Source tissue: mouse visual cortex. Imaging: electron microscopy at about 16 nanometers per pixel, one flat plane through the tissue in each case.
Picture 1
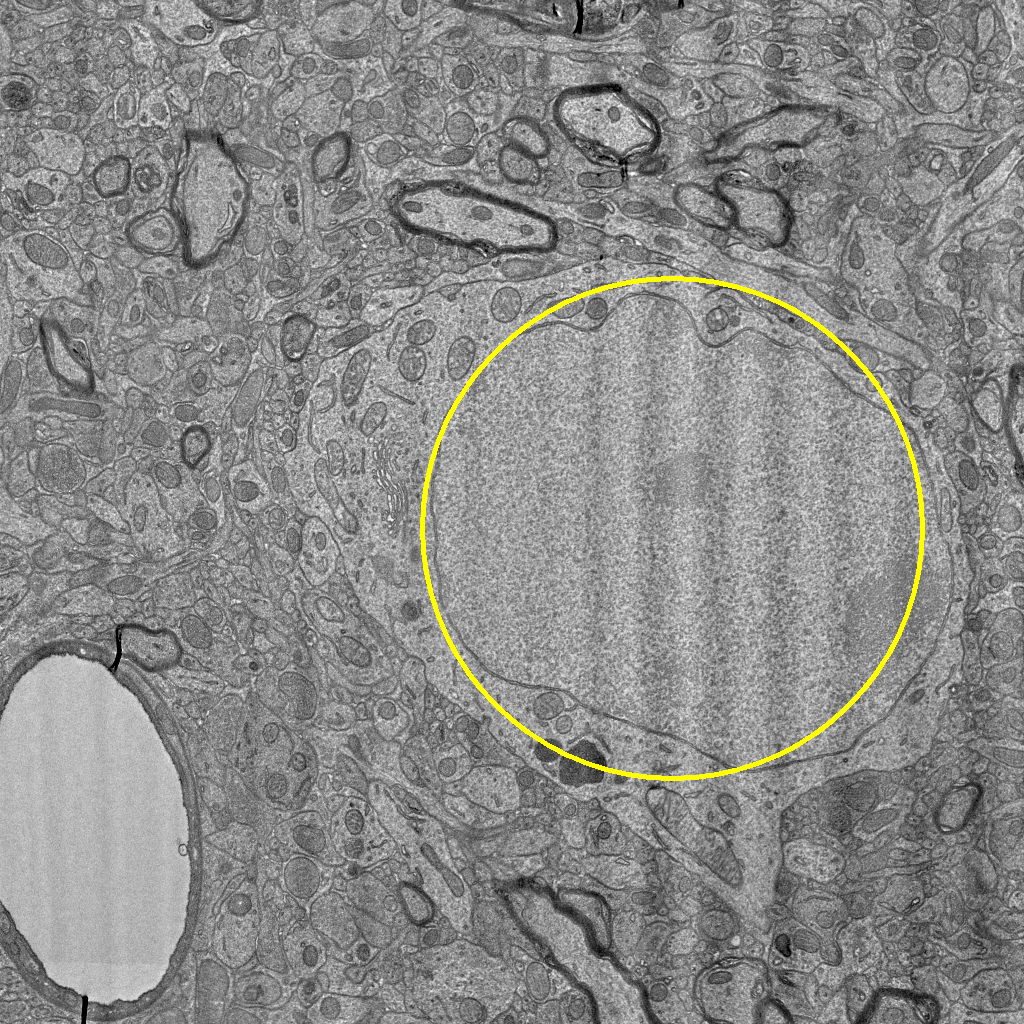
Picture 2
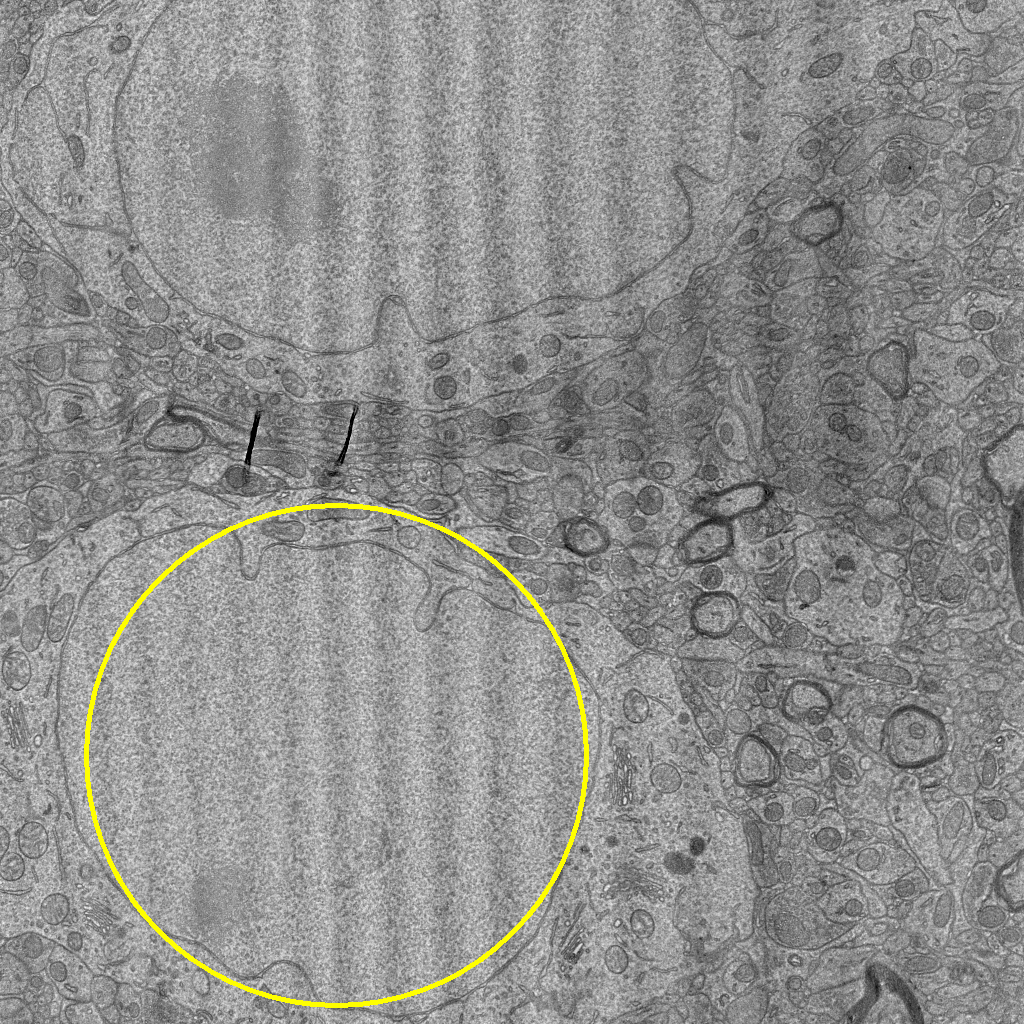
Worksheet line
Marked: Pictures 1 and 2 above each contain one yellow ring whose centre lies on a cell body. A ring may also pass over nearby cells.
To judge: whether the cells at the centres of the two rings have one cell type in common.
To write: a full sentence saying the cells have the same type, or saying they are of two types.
The cells at the centres of the rings in Picture 1 and Picture 2 have the same type.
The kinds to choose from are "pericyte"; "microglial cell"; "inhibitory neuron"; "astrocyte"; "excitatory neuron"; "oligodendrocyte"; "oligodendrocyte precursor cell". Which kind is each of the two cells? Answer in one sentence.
Each cell at the centre of a ring is an excitatory neuron.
